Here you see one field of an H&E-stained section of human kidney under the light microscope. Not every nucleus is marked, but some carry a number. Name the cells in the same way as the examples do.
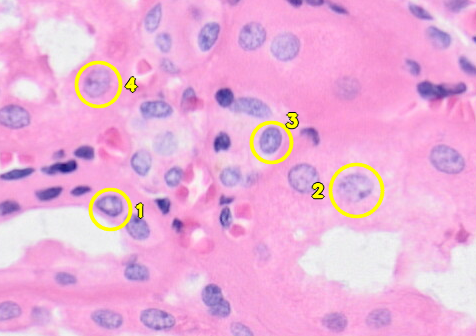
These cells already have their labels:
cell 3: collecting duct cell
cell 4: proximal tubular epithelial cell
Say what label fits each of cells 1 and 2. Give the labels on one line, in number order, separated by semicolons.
collecting duct cell; proximal tubular epithelial cell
